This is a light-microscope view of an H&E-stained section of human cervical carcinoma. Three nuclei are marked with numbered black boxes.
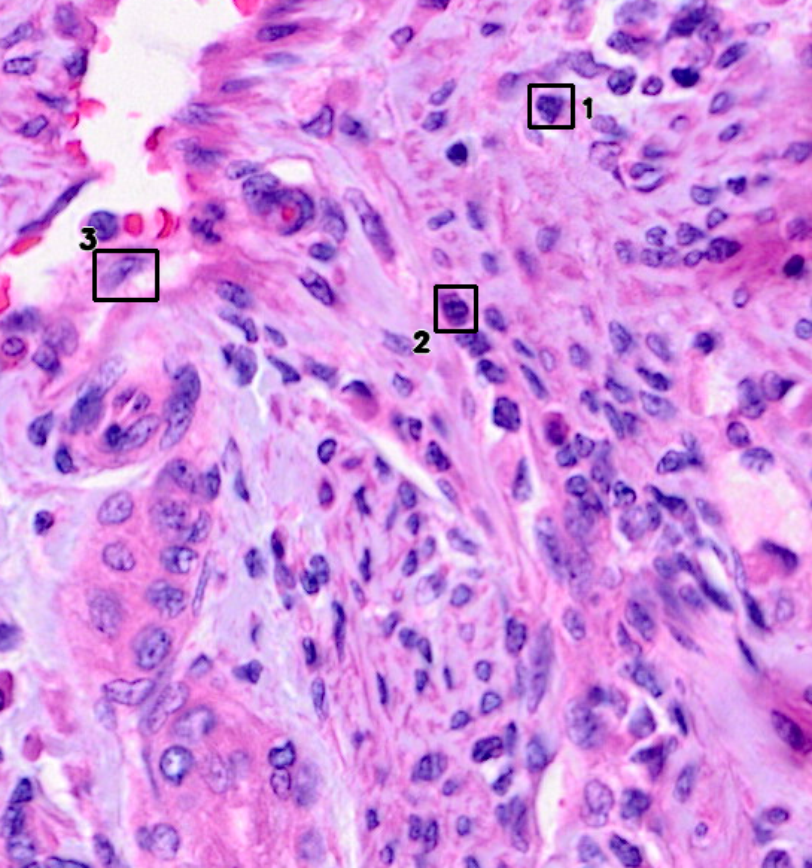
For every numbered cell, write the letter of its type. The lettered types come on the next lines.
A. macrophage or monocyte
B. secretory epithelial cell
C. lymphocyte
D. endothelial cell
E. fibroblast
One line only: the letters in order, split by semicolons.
C; C; D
